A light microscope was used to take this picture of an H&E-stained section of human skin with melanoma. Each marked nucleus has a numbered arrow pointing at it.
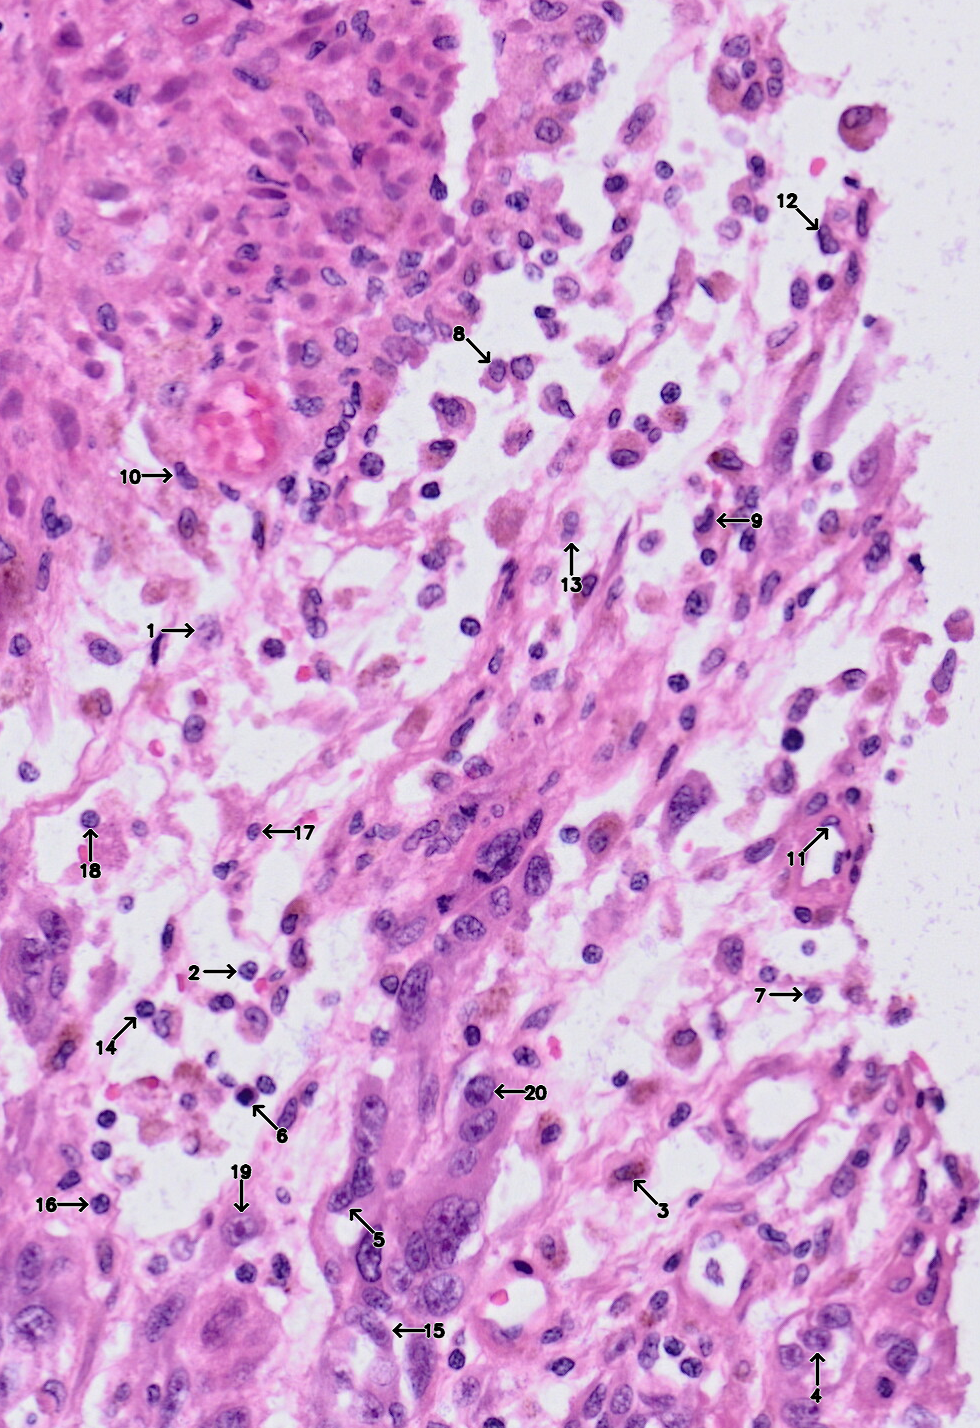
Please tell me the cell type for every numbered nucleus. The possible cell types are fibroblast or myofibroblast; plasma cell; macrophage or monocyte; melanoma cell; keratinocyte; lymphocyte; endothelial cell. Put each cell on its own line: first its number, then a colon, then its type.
1: fibroblast or myofibroblast
2: lymphocyte
3: macrophage or monocyte
4: melanoma cell
5: melanoma cell
6: plasma cell
7: lymphocyte
8: macrophage or monocyte
9: macrophage or monocyte
10: macrophage or monocyte
11: endothelial cell
12: macrophage or monocyte
13: macrophage or monocyte
14: lymphocyte
15: melanoma cell
16: lymphocyte
17: lymphocyte
18: lymphocyte
19: melanoma cell
20: melanoma cell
